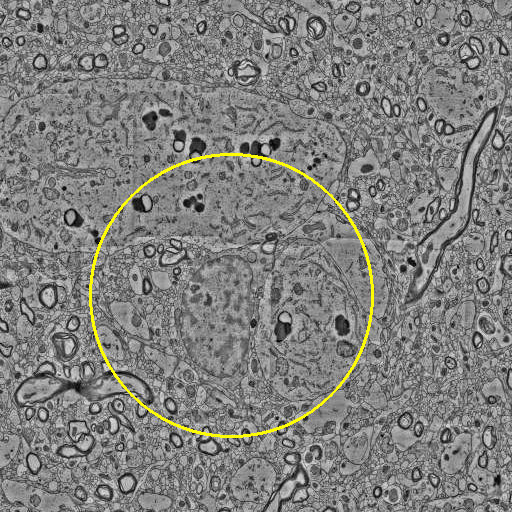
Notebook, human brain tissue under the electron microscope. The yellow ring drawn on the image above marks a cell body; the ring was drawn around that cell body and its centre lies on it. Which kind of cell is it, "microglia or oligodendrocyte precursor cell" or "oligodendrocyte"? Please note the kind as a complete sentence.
The marked cell body is that of an oligodendrocyte.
